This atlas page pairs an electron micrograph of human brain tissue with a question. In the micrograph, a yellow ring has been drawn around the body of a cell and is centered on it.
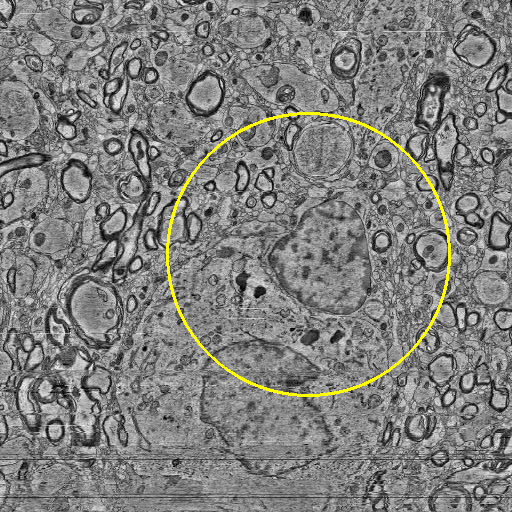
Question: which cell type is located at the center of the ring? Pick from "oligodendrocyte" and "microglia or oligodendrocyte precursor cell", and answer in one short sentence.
Located at the center of the ring is a microglial cell or oligodendrocyte precursor cell.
